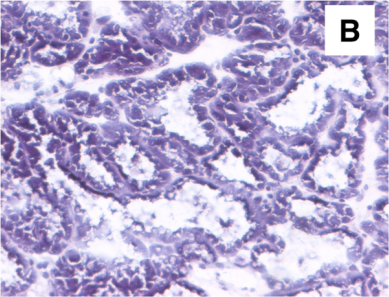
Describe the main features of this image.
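Closely packed glandular units fill the field, each a rounded or irregular alveolus lined by a single layer of cuboidal to low columnar epithelial cells with dark purple nuclei and pale lilac cytoplasm. The lumens are wide and mostly pale, with wispy faint material inside. Between neighbouring alveoli only thin strands of supporting tissue are seen, so the walls of adjacent units almost touch.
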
